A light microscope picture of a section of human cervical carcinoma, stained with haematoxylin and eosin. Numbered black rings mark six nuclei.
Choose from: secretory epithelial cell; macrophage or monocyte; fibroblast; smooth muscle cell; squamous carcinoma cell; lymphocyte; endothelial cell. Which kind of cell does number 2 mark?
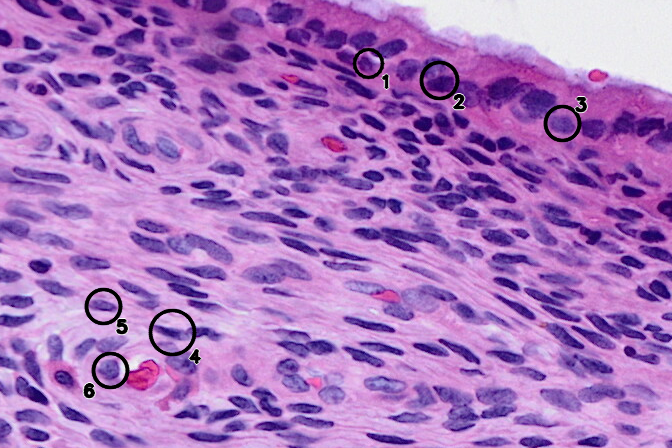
secretory epithelial cell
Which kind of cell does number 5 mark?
fibroblast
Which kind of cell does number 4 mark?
fibroblast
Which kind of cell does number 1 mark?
secretory epithelial cell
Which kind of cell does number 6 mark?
endothelial cell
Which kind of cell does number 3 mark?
secretory epithelial cell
